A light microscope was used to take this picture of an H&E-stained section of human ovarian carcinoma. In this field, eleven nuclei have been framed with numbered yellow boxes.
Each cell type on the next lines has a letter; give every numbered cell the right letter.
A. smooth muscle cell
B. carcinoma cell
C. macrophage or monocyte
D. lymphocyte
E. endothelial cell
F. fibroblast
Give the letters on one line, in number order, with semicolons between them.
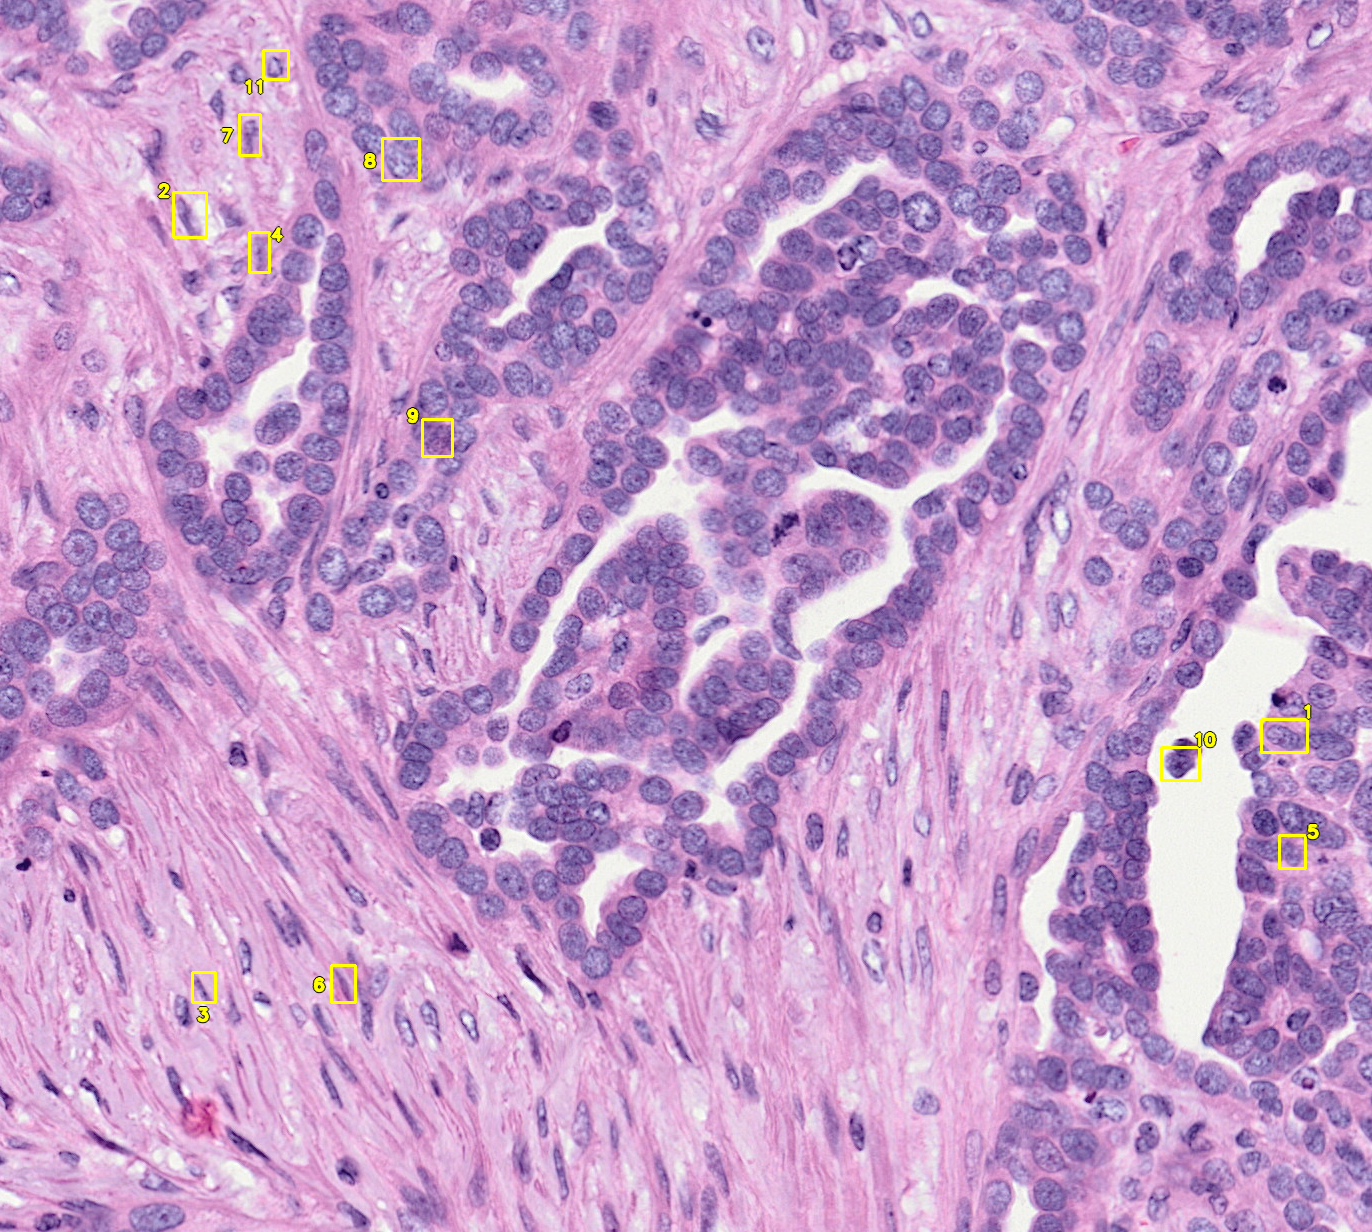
B; F; F; F; B; F; F; B; B; B; F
